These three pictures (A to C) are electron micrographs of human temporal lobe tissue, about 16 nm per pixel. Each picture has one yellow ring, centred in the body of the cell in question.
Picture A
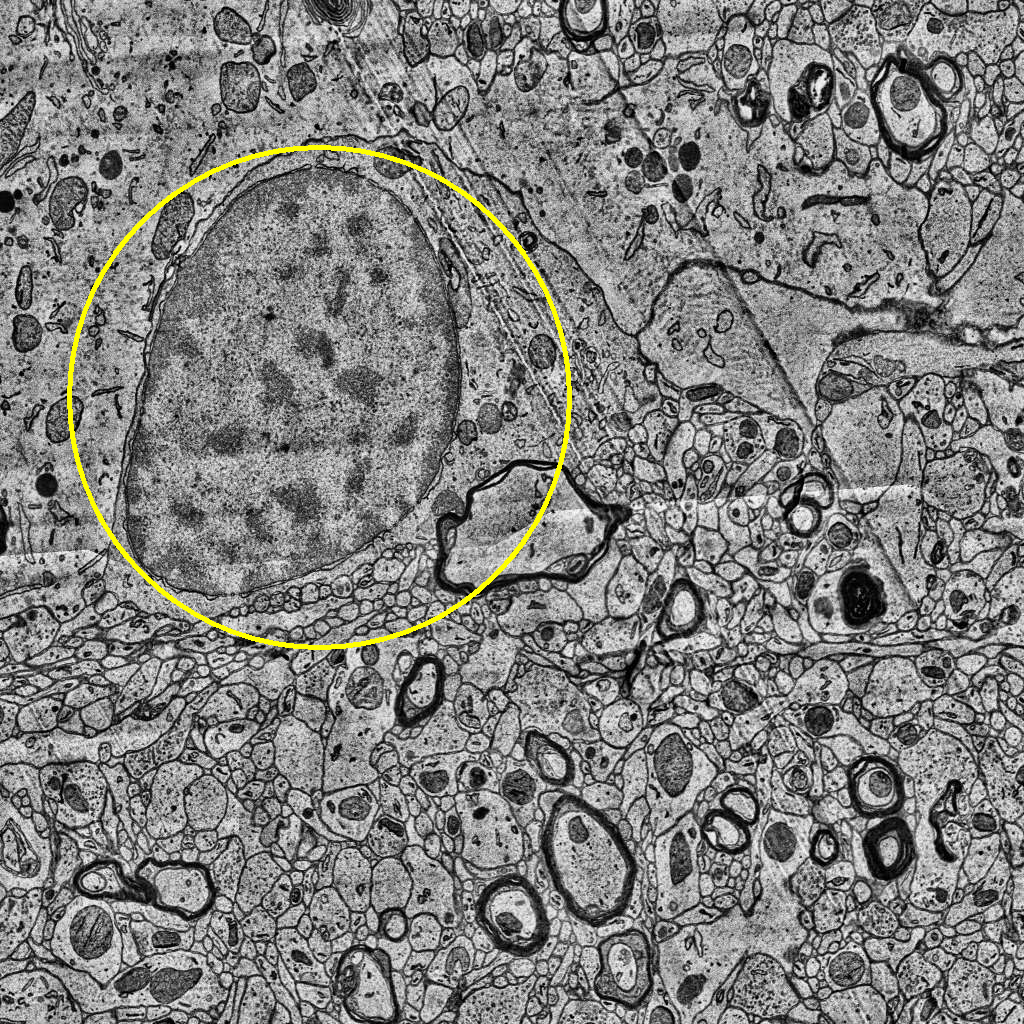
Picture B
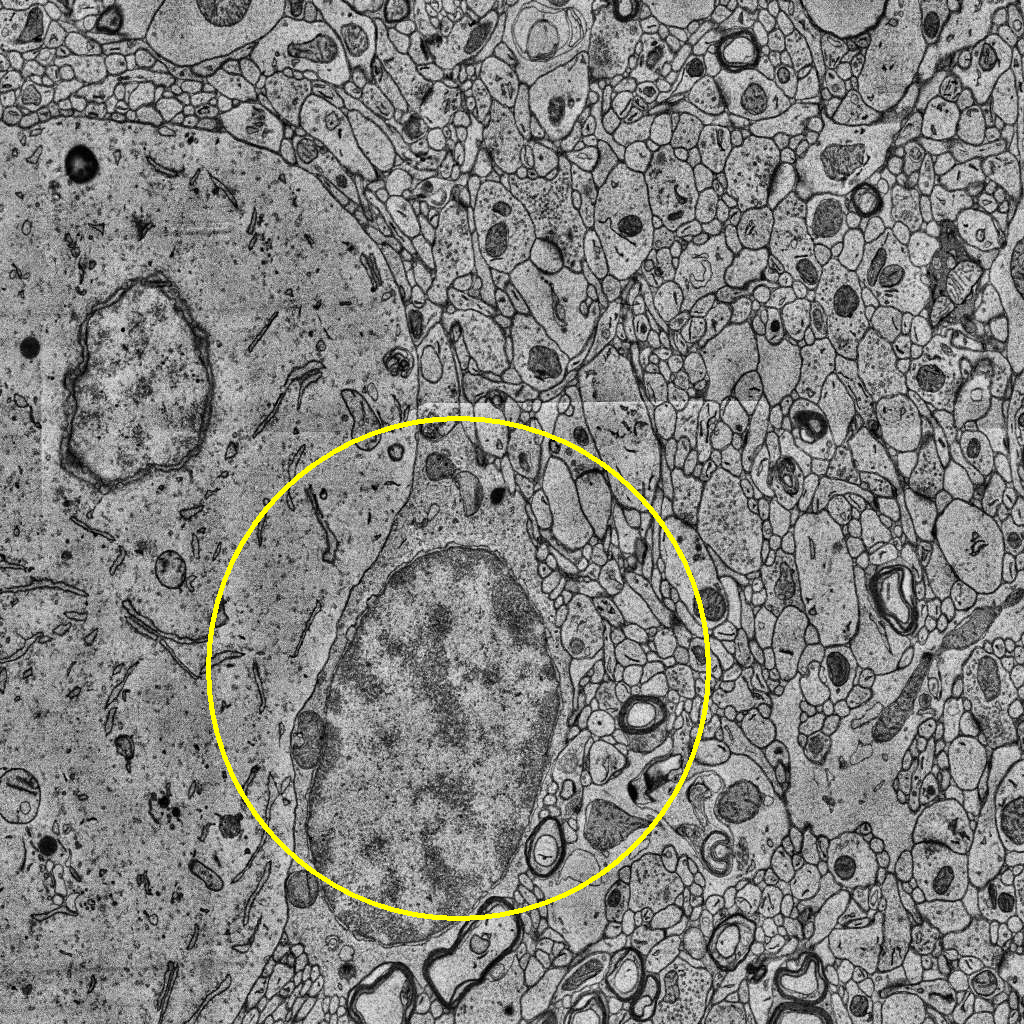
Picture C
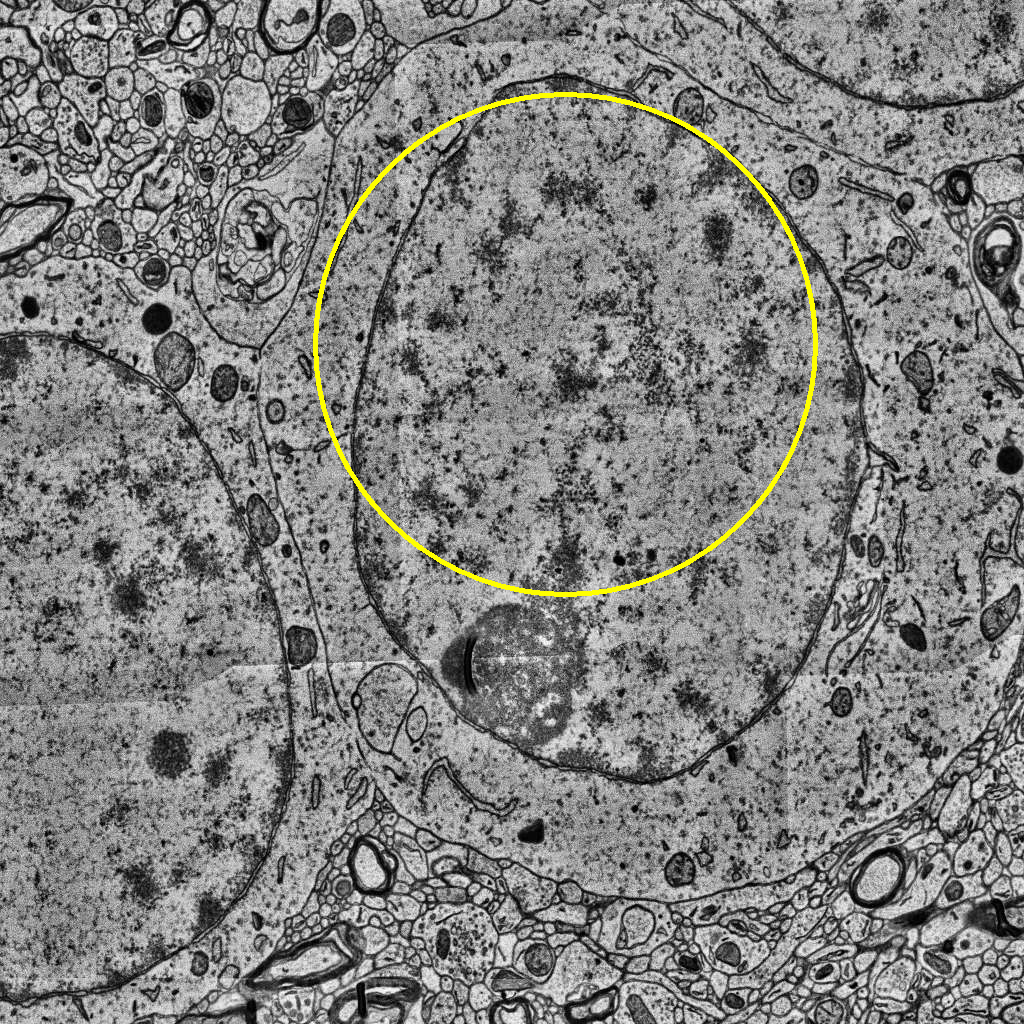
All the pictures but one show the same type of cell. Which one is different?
Picture C is the odd one out: it shows a pyramidal neuron, while the others show oligodendrocytes.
